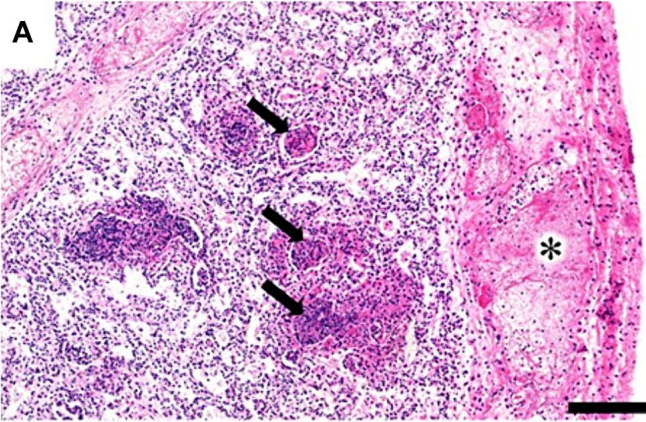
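The inflammatory foci are dense, dark purple clusters of small cells lying within a loose, lace-like parenchyma with scattered nuclei. Several such clusters are seen across the field. Along the right edge, a thick band of pale pink, fibrillar material with scattered cells covers the surface of the lung.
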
